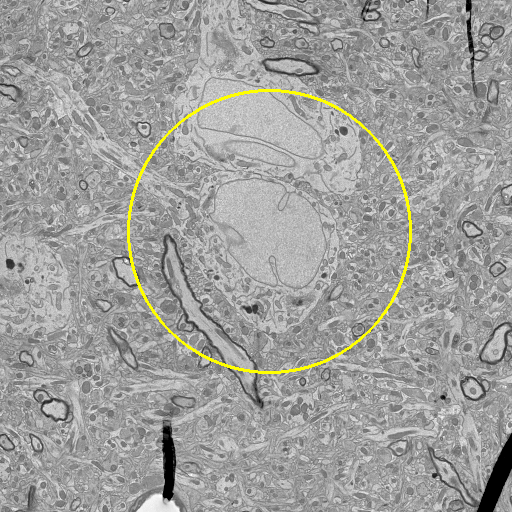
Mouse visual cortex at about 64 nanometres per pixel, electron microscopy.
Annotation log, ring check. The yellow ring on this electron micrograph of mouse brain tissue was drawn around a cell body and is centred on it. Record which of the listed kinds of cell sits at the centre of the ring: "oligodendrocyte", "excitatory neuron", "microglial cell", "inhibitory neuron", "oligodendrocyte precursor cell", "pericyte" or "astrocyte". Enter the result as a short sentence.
The cell at the centre of the ring is an inhibitory neuron.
